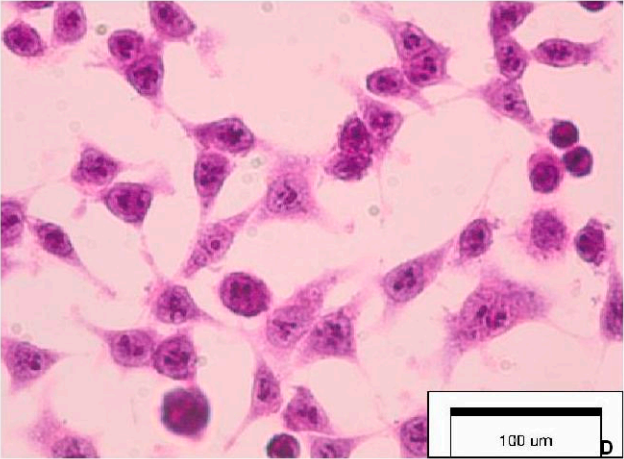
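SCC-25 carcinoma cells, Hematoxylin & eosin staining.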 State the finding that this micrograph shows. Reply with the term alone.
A: Hyperchromasia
